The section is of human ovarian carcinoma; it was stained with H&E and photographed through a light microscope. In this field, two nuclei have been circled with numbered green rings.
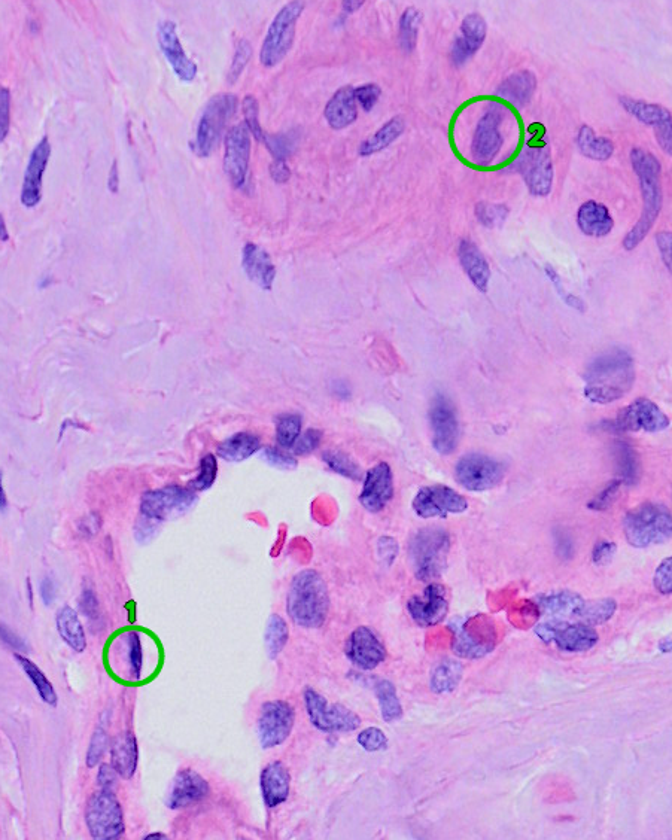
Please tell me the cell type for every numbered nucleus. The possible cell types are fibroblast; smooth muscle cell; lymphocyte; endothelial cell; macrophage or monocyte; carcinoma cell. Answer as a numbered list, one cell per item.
1. endothelial cell
2. smooth muscle cell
